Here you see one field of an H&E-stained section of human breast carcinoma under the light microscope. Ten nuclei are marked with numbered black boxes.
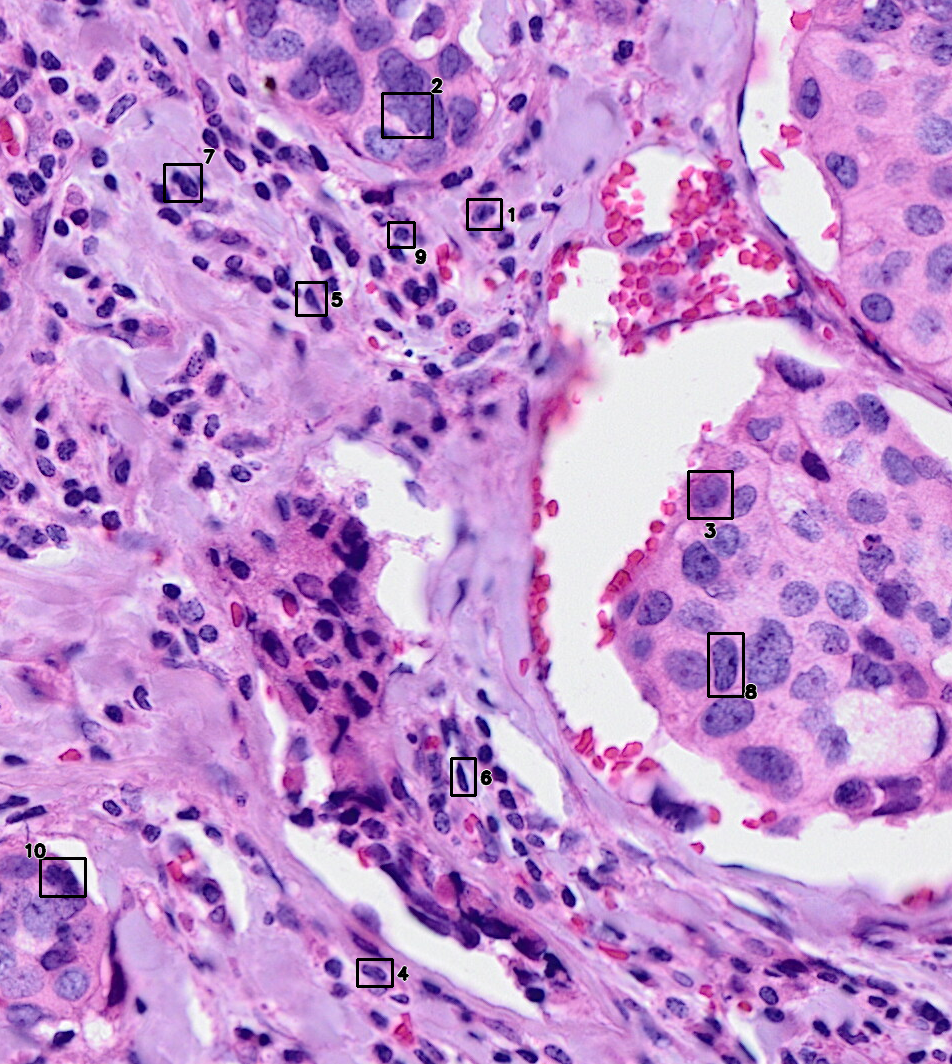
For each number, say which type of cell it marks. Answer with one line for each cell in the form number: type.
1: lymphocyte
2: carcinoma cell
3: carcinoma cell
4: lymphocyte
5: lymphocyte
6: lymphocyte
7: lymphocyte
8: carcinoma cell
9: lymphocyte
10: carcinoma cell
